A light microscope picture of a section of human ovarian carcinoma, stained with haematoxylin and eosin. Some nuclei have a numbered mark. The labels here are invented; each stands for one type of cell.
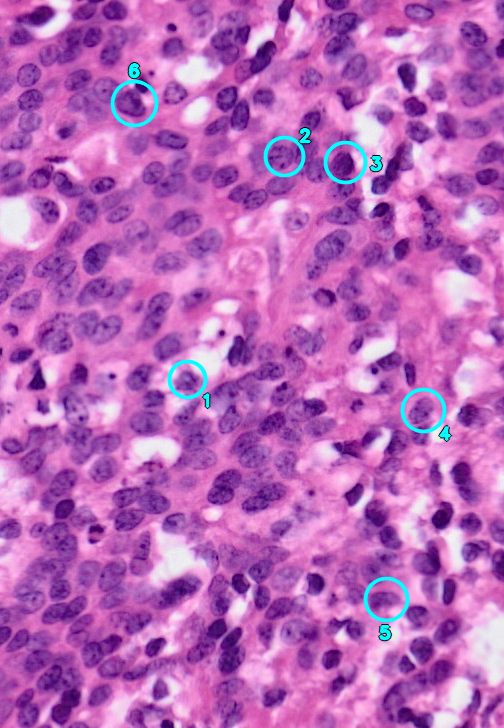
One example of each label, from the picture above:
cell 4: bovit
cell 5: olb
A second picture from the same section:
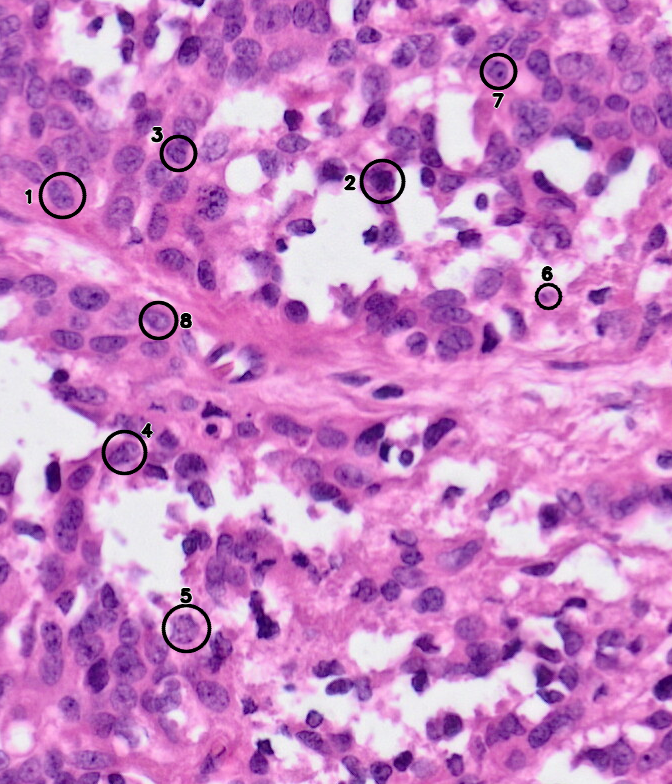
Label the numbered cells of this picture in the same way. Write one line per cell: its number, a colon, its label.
1: olb
2: olb
3: olb
4: olb
5: bovit
6: bovit
7: bovit
8: olb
